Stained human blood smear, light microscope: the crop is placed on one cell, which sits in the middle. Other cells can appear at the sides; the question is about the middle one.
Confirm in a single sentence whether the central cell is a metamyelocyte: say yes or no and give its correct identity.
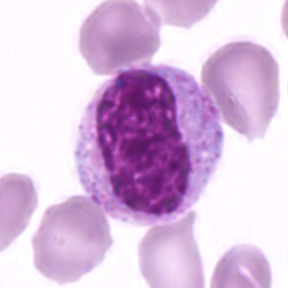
Yes, the cell in the centre is a metamyelocyte.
